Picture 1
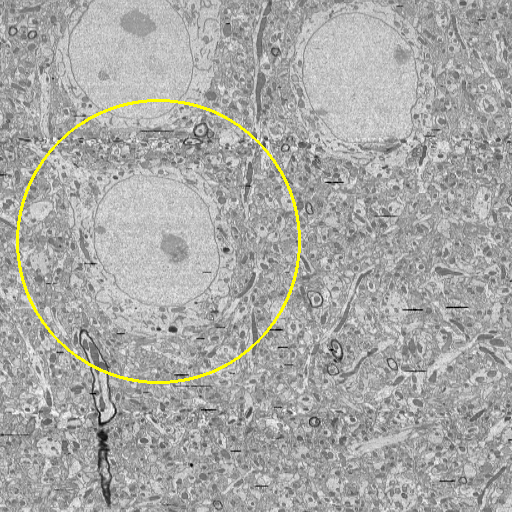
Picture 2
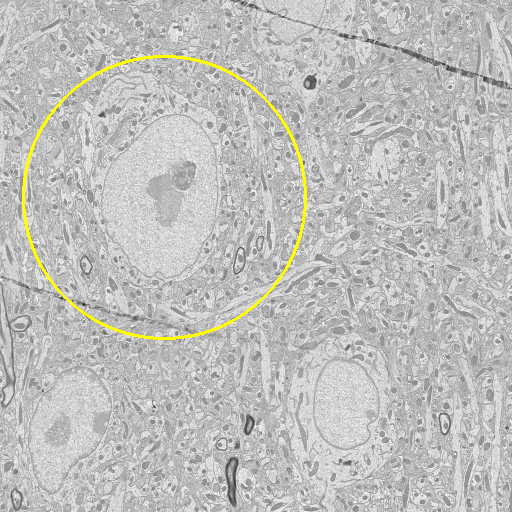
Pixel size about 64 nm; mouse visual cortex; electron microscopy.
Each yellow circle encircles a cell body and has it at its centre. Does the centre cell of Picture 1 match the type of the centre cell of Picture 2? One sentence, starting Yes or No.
No, the cell centred in Picture 1 and the one in Picture 2 have separate types.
